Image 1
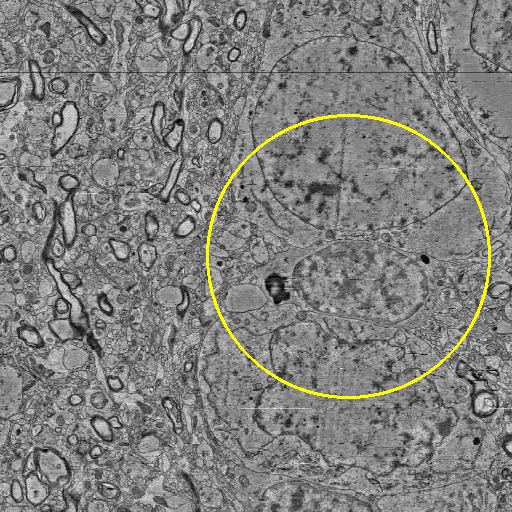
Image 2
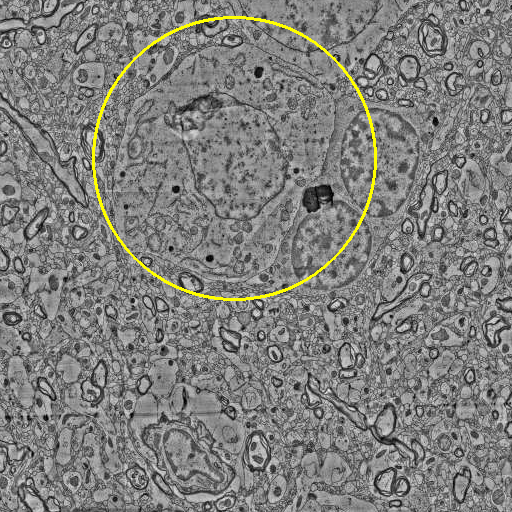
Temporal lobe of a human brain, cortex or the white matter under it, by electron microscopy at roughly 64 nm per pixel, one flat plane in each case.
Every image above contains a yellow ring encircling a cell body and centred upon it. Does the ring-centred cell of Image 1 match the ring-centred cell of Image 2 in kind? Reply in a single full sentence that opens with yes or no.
No, the cell at the ring's centre in Image 1 is a separate kind from that in Image 2.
